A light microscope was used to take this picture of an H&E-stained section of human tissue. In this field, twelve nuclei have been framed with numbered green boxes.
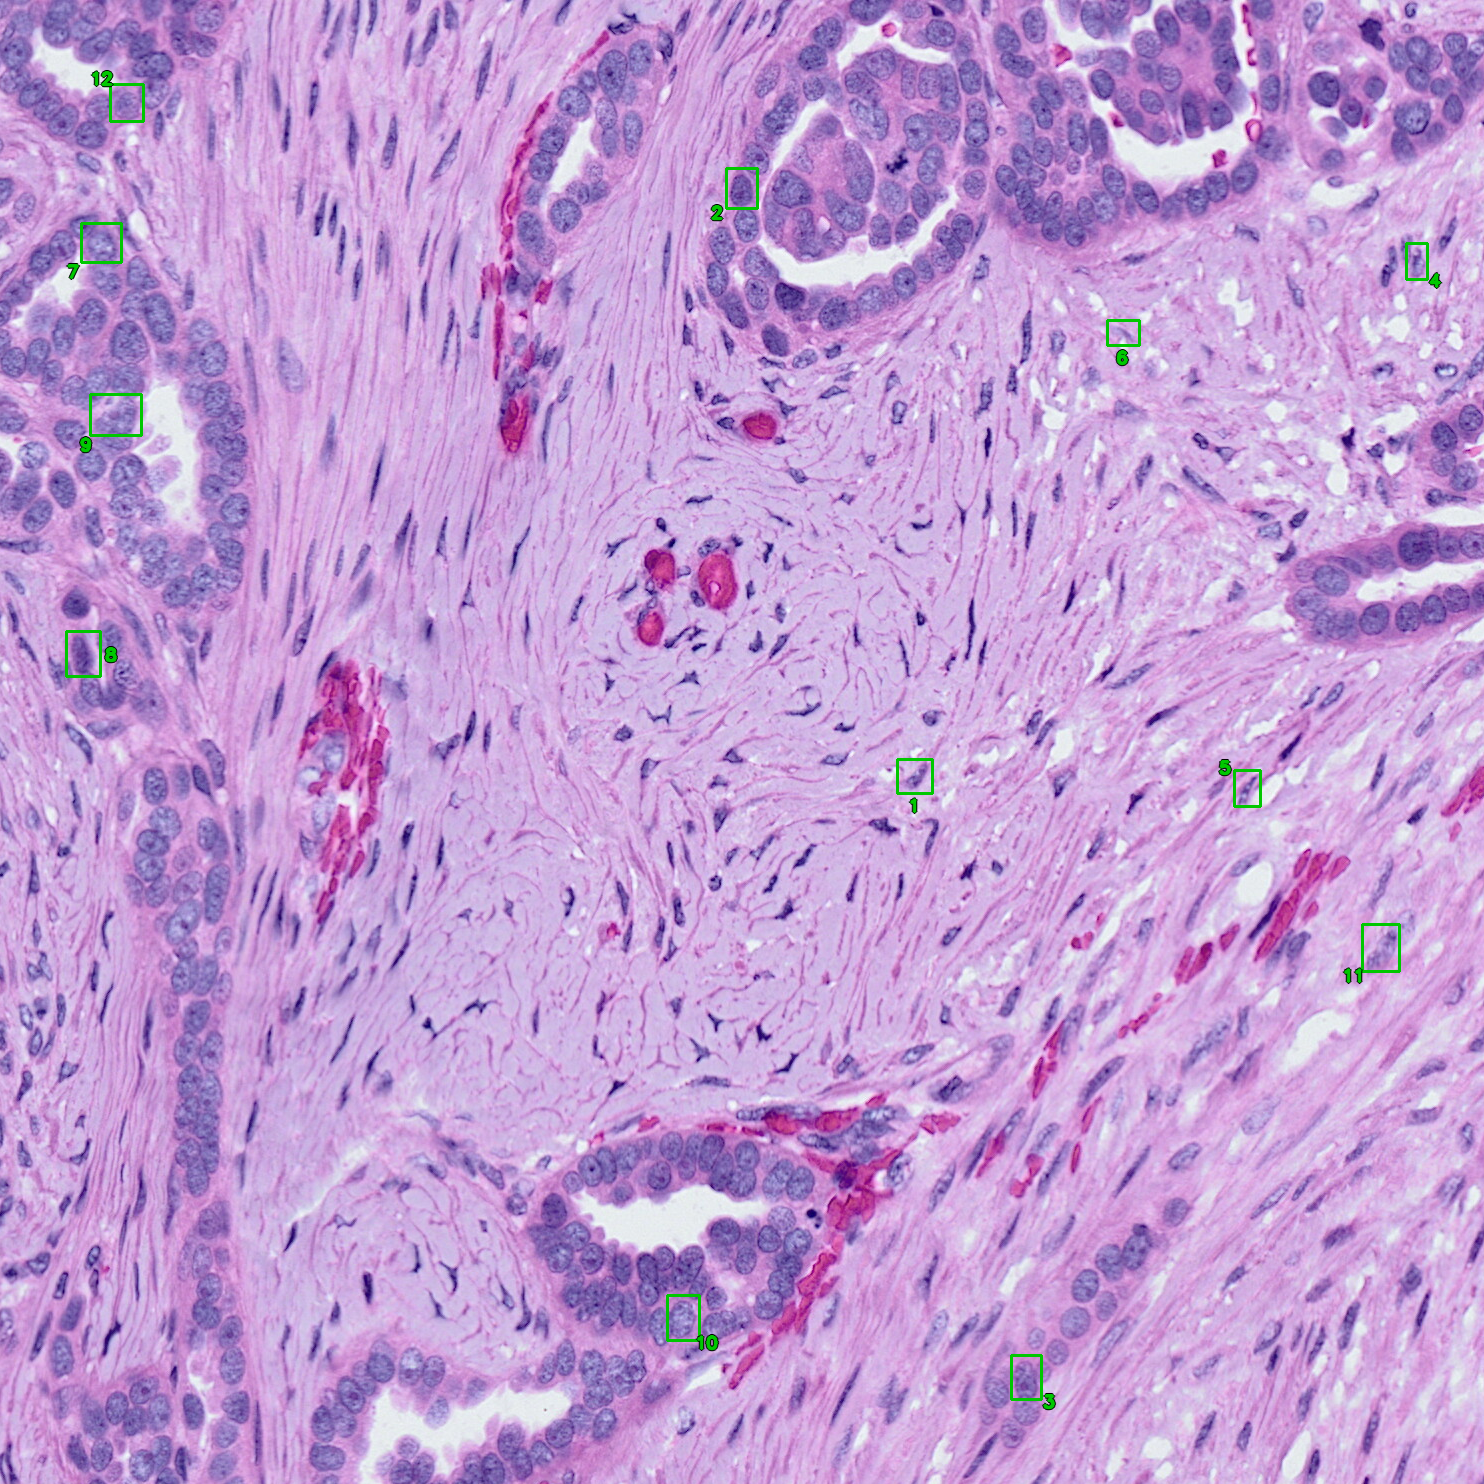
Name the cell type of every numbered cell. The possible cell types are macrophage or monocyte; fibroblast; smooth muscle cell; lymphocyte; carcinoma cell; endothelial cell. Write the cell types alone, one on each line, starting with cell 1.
fibroblast
carcinoma cell
carcinoma cell
fibroblast
fibroblast
fibroblast
carcinoma cell
carcinoma cell
carcinoma cell
carcinoma cell
fibroblast
carcinoma cell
